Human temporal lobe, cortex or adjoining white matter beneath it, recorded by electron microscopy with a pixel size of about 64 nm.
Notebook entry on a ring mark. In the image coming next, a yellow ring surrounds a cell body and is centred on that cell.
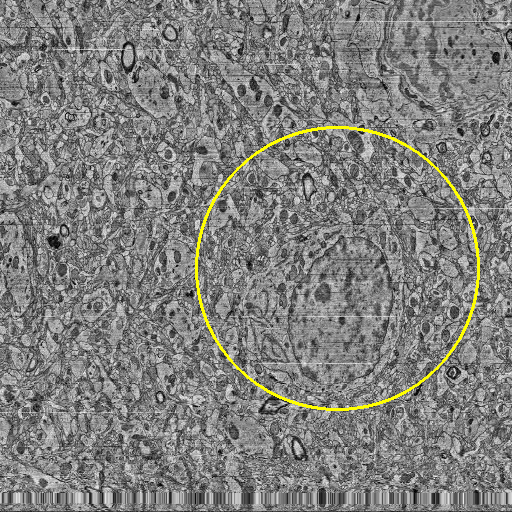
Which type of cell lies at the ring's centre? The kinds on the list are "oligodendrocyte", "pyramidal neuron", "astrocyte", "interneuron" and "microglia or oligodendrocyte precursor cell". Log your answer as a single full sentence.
Centred in the yellow ring is an interneuron, the cell recorded for this image.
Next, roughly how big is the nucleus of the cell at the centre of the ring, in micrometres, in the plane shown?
In this plane, approximately 10 by 6 micrometers, and clearly longer than it is wide.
